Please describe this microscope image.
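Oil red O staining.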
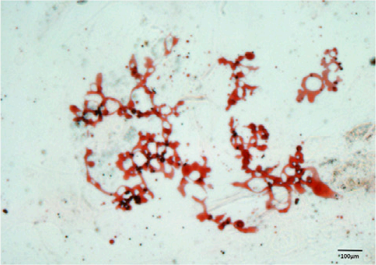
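The vacuoles crowd together in bunches and chains, so that each group looks like a heap of red-edged bubbles. Between the clusters the background is pale and almost unstained, and a few dark specks lie on top of some droplets. The cell outlines themselves are hard to make out; the droplets are what the stain shows.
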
